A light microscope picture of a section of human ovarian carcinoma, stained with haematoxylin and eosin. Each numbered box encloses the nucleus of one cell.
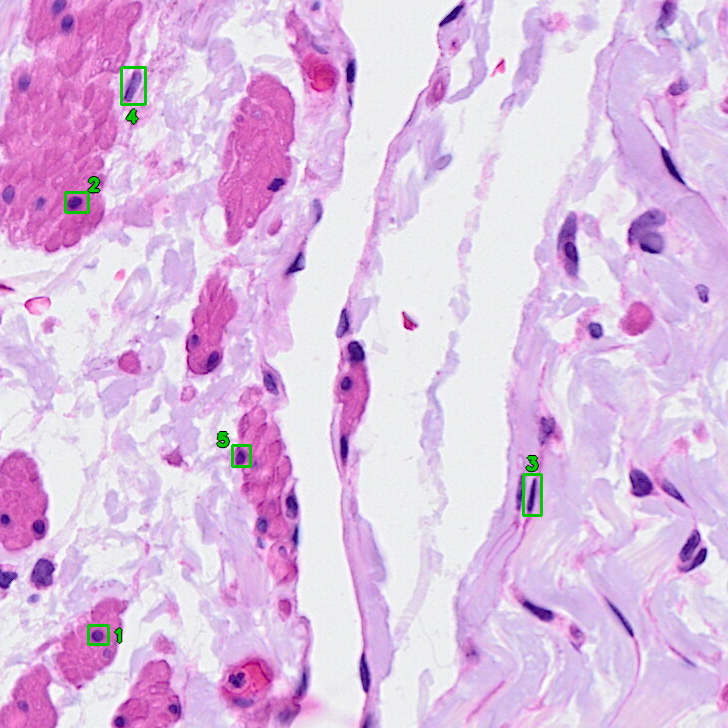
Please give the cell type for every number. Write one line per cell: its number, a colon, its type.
1: smooth muscle cell
2: smooth muscle cell
3: fibroblast
4: fibroblast
5: smooth muscle cell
